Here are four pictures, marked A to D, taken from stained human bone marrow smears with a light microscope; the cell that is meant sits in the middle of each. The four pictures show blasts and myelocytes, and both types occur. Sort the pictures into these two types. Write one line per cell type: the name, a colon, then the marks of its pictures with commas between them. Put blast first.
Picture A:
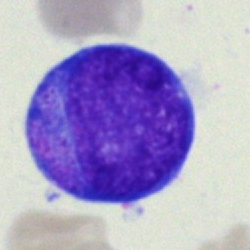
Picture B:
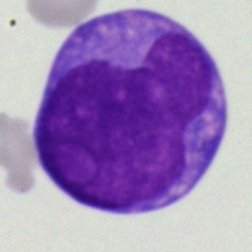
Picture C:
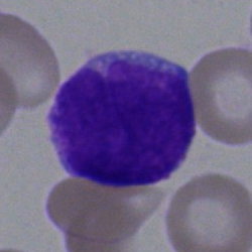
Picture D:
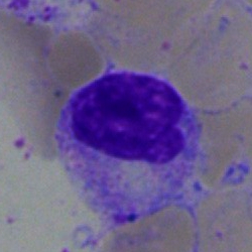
blast: A, B, C
myelocyte: D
